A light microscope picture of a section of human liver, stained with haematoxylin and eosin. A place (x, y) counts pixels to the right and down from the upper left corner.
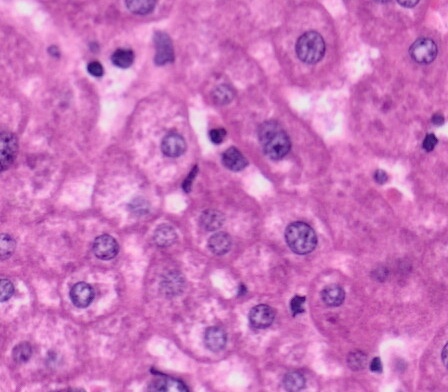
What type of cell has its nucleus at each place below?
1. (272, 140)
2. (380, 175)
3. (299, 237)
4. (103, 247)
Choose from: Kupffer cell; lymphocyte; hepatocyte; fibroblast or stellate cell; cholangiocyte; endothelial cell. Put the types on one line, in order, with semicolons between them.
hepatocyte; lymphocyte; hepatocyte; hepatocyte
